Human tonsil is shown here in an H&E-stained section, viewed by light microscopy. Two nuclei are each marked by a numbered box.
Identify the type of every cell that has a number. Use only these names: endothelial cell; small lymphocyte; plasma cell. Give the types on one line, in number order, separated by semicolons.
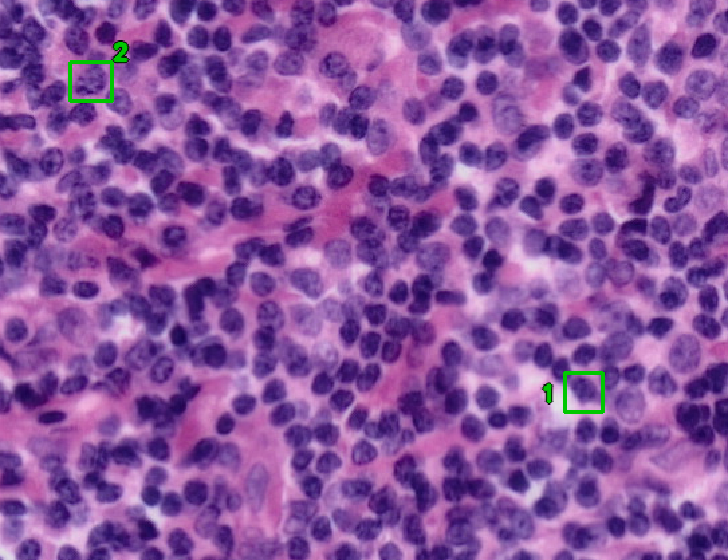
small lymphocyte; plasma cell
